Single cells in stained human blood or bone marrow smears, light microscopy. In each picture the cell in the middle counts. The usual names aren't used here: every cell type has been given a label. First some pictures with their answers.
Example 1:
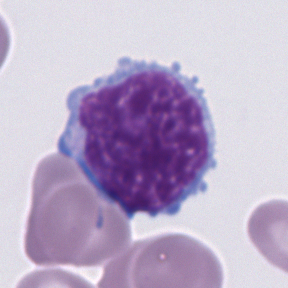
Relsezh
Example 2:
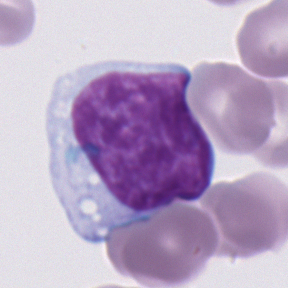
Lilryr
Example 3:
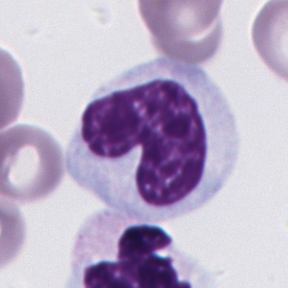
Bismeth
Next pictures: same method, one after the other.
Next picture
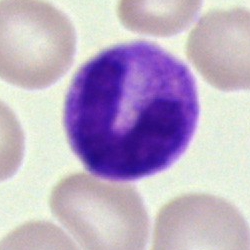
Bismeth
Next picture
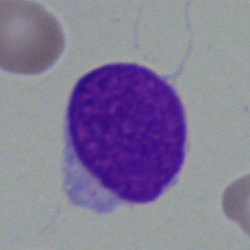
Lilryr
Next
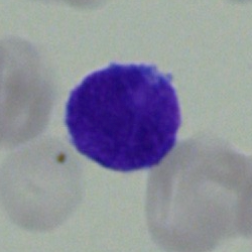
Lilryr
